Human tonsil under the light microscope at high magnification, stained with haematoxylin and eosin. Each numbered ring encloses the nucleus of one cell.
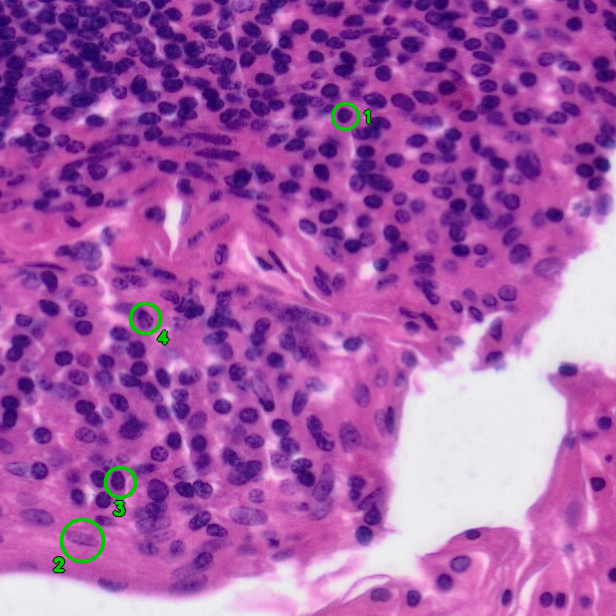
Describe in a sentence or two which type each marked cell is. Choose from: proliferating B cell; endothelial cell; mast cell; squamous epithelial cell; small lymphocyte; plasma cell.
Cell 1 is a plasma cell, cell 2 is a squamous epithelial cell, cell 3 is a plasma cell and cell 4 is a plasma cell.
